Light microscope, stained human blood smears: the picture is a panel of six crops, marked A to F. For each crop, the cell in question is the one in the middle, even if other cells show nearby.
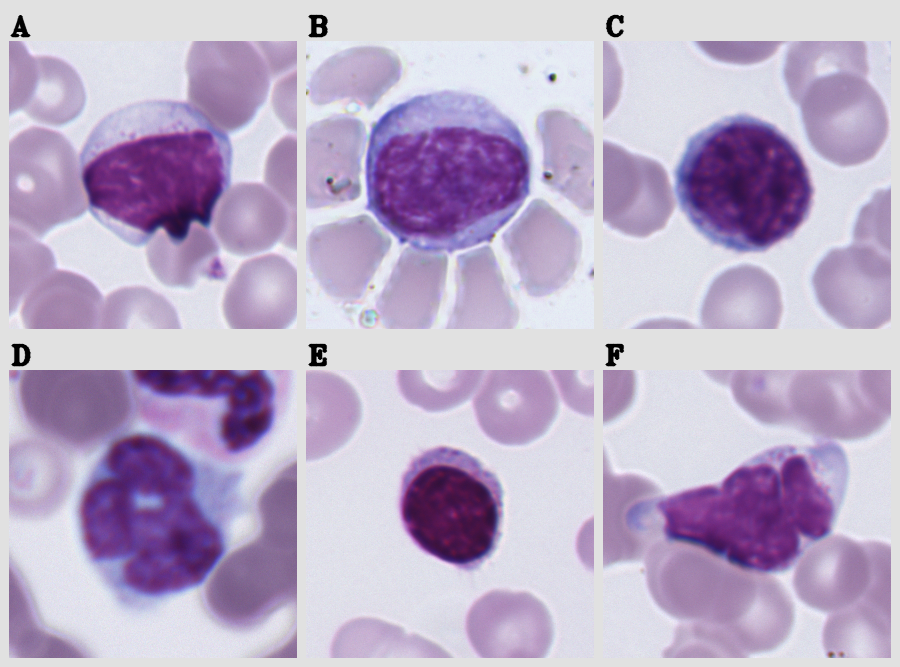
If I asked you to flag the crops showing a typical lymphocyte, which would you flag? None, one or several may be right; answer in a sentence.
Crops C and E display typical lymphocytes in the centre of the field.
